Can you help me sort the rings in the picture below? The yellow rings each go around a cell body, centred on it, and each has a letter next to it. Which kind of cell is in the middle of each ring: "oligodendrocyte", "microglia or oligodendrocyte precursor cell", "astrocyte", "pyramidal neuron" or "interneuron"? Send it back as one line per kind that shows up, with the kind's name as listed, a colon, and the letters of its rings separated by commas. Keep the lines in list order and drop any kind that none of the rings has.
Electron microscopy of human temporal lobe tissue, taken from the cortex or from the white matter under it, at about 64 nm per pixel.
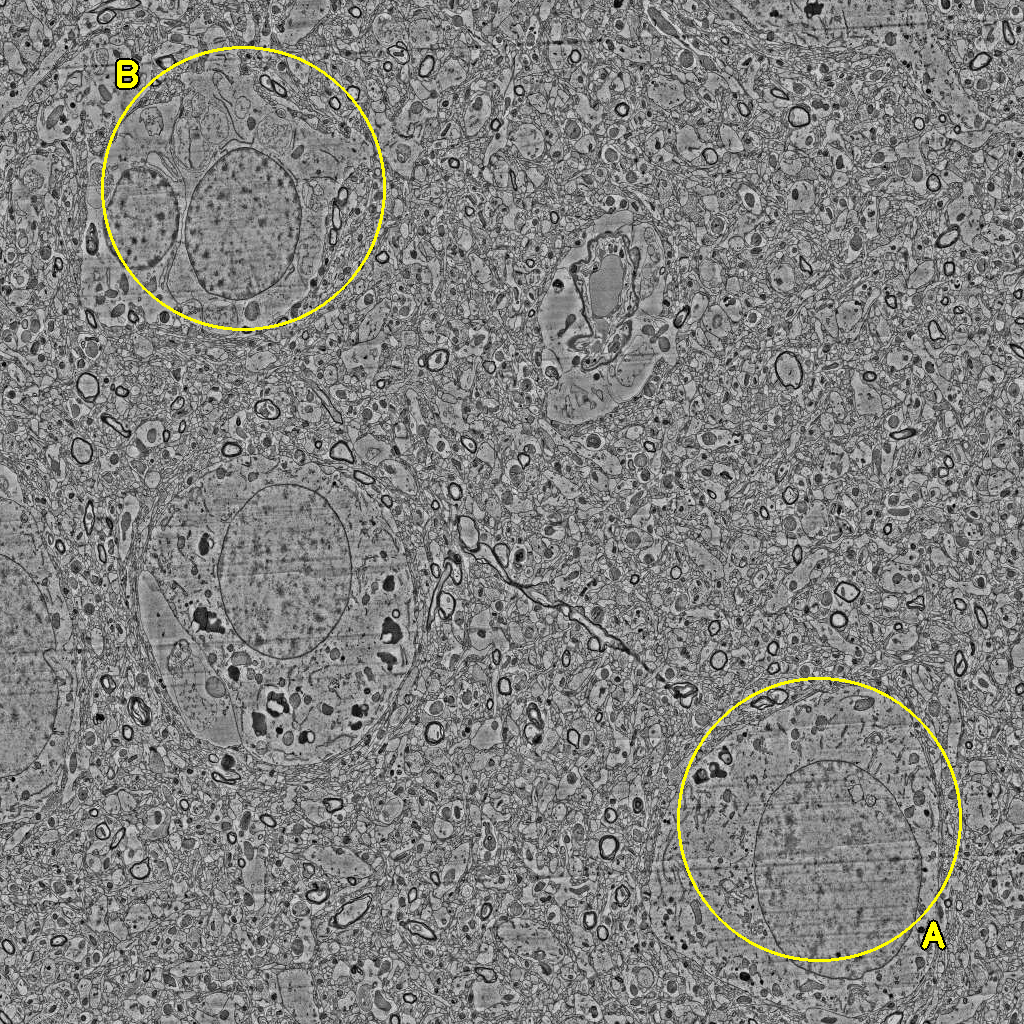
astrocyte: B
pyramidal neuron: A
